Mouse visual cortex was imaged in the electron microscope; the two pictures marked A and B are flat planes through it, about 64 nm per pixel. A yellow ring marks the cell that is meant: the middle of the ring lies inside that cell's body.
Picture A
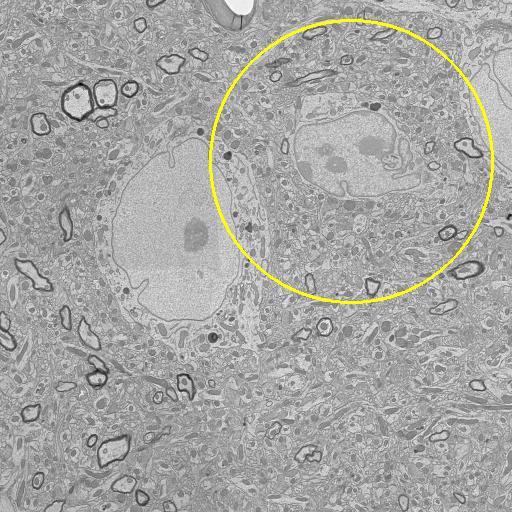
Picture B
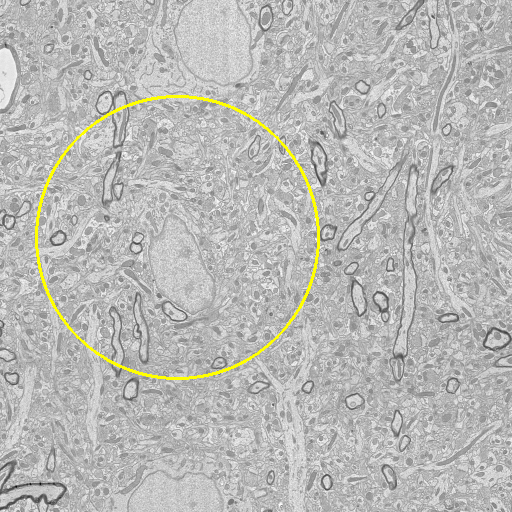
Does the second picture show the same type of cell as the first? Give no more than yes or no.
yes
